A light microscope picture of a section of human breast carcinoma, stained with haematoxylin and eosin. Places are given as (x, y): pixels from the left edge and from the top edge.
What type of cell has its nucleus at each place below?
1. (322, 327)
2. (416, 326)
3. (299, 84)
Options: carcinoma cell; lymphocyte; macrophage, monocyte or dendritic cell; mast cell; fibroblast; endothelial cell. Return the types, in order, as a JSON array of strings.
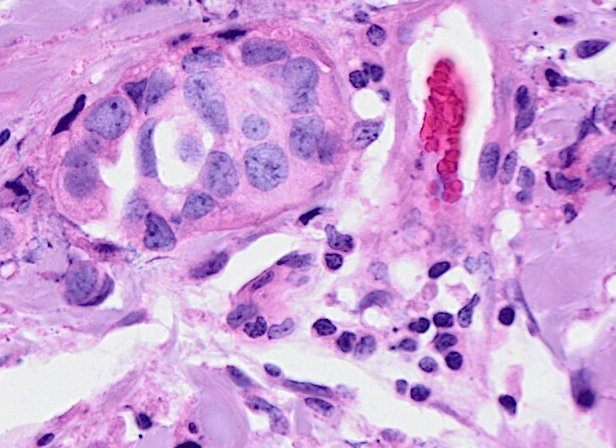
["lymphocyte", "lymphocyte", "carcinoma cell"]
